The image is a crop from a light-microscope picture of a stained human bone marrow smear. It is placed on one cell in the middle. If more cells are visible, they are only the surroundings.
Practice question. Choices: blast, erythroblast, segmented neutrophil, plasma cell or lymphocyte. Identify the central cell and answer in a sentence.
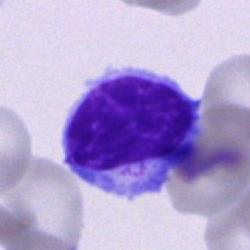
The cell centered in this field of view is a lymphocyte.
